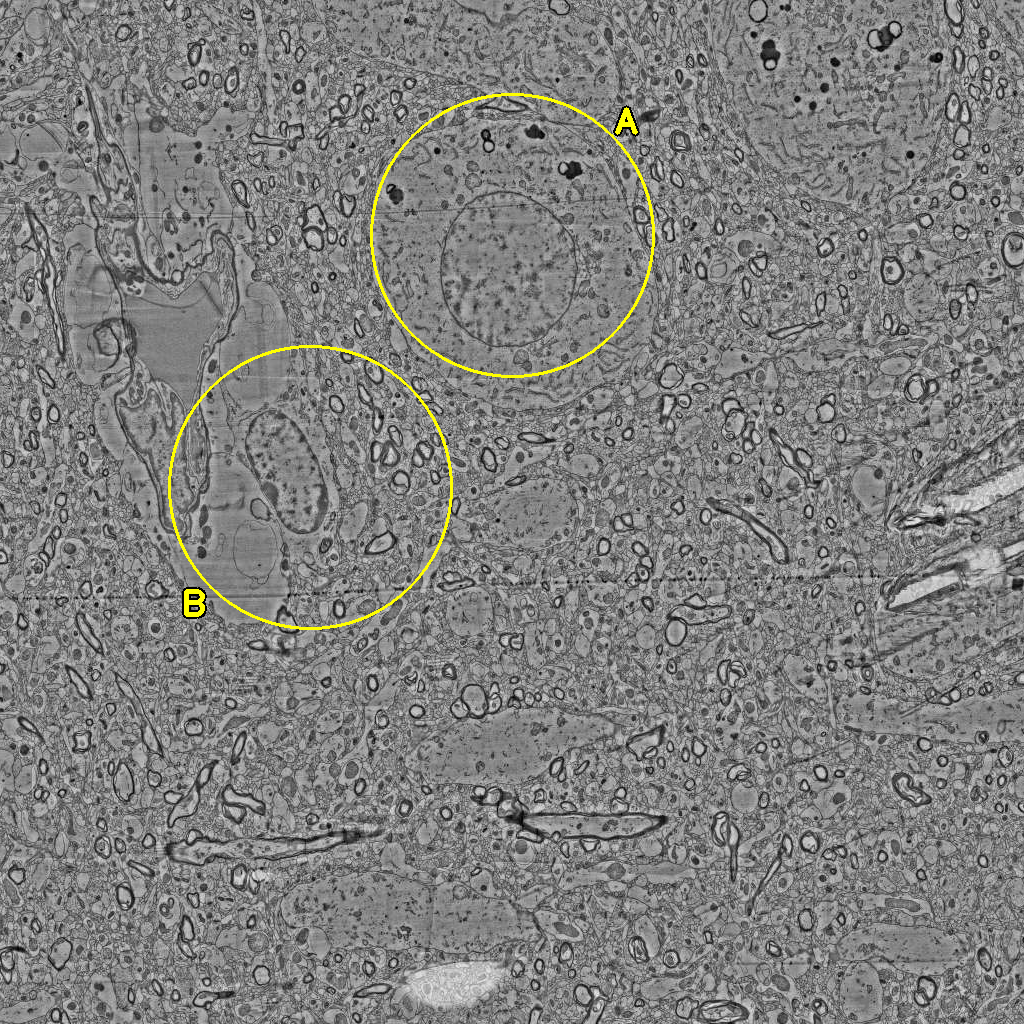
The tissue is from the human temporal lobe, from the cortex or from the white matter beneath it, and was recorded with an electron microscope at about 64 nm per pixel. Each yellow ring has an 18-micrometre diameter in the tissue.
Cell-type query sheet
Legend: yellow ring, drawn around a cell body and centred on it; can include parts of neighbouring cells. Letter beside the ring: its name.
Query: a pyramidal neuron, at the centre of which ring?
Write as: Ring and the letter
Ring A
